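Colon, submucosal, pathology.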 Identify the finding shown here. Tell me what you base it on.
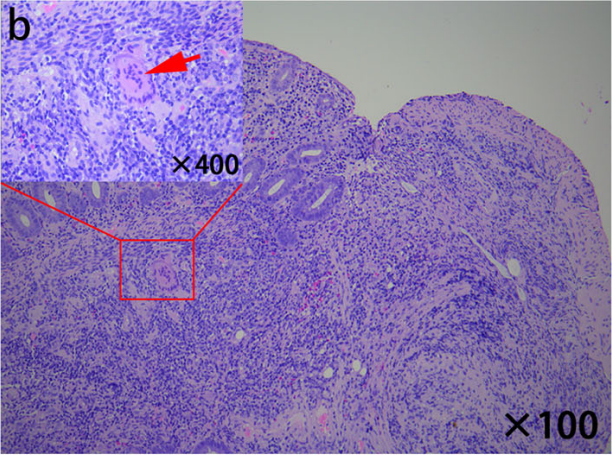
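Granulomatous inflammation. The tissue is densely packed with small dark-nucleated cells. A large multinucleated cell lies within this cell-rich tissue. Only a few glands remain near the surface.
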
